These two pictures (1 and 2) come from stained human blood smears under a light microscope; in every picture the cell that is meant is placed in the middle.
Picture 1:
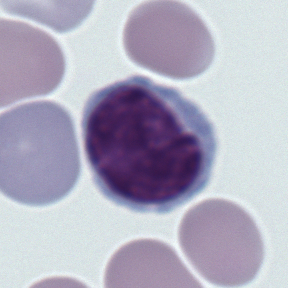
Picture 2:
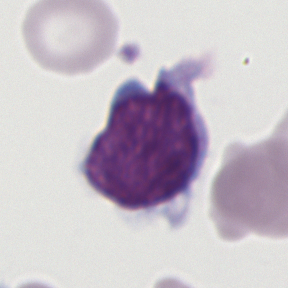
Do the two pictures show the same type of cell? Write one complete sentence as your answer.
Yes, they are the same type: both are typical lymphocytes.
